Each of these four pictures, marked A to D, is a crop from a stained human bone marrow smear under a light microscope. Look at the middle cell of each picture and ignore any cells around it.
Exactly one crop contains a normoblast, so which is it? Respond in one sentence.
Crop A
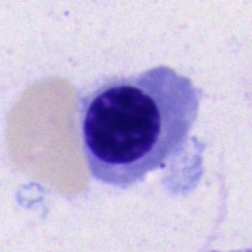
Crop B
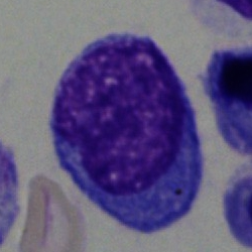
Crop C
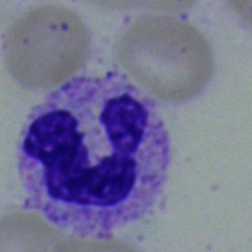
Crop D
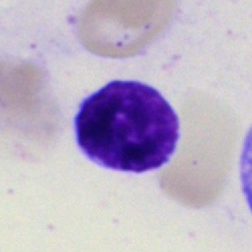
Crop A is the crop that shows a normoblast in its middle.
